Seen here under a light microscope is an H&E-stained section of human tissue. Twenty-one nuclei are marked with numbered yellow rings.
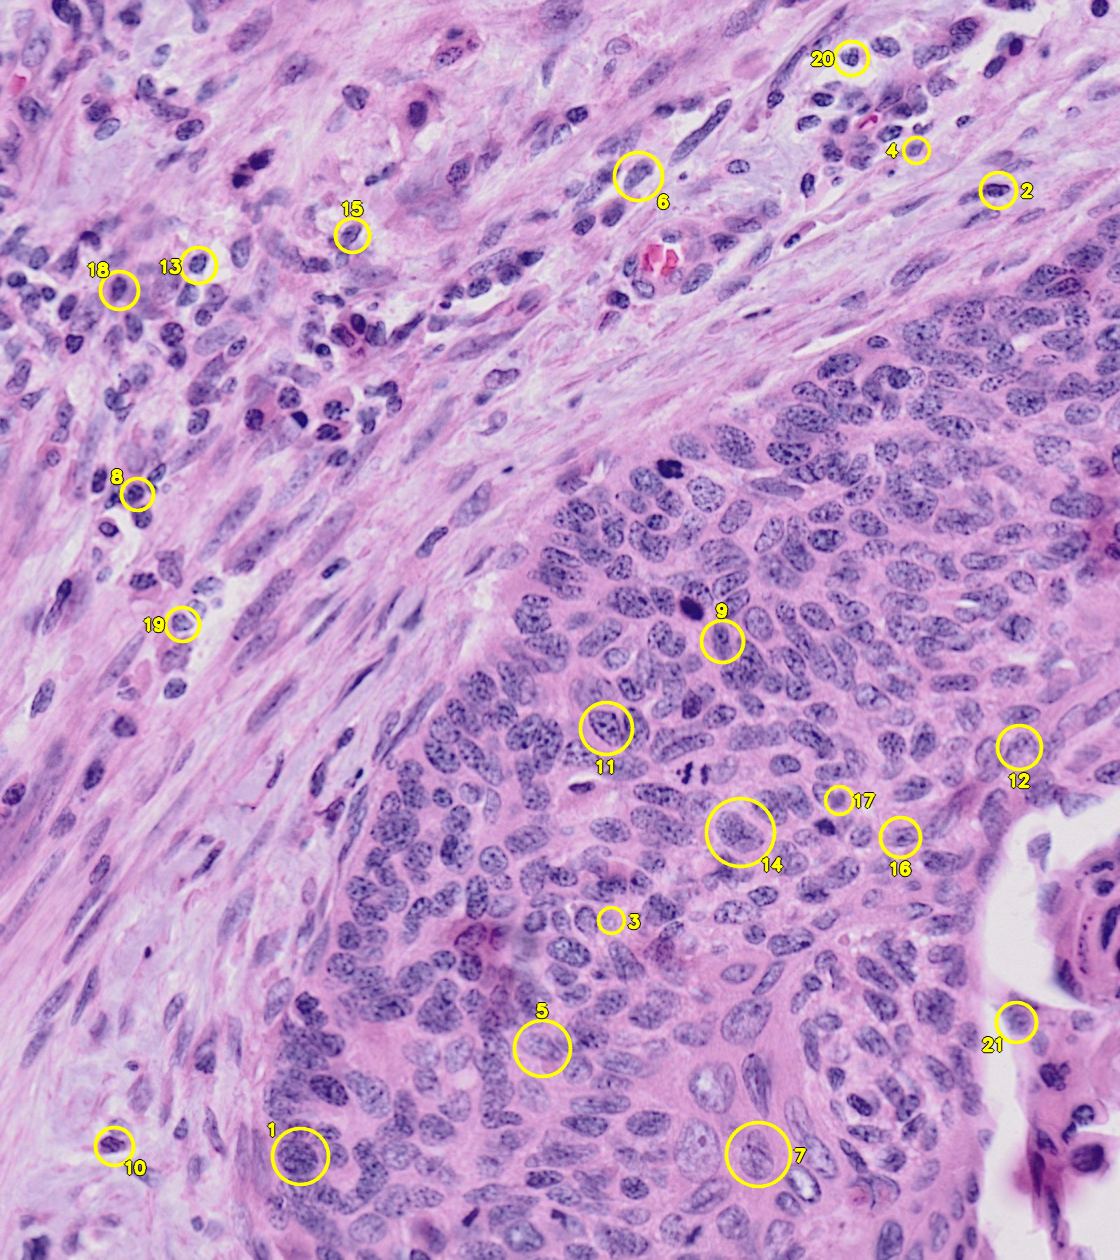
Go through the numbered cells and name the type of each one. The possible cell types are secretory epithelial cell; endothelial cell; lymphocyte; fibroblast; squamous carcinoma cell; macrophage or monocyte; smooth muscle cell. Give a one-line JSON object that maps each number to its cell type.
{"1": "squamous carcinoma cell", "2": "lymphocyte", "3": "squamous carcinoma cell", "4": "lymphocyte", "5": "squamous carcinoma cell", "6": "lymphocyte", "7": "squamous carcinoma cell", "8": "lymphocyte", "9": "squamous carcinoma cell", "10": "macrophage or monocyte", "11": "squamous carcinoma cell", "12": "squamous carcinoma cell", "13": "lymphocyte", "14": "squamous carcinoma cell", "15": "lymphocyte", "16": "squamous carcinoma cell", "17": "squamous carcinoma cell", "18": "lymphocyte", "19": "lymphocyte", "20": "lymphocyte", "21": "squamous carcinoma cell"}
